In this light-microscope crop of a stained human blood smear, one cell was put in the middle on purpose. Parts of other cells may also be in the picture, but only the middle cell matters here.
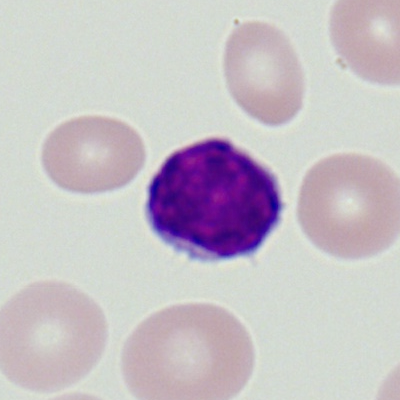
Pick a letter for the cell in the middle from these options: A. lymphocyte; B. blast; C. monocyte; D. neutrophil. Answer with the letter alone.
A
